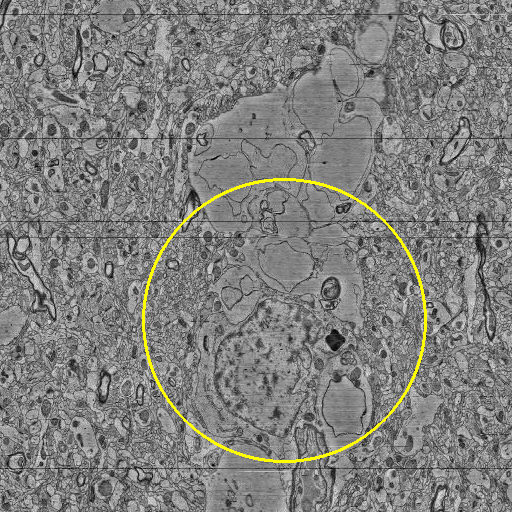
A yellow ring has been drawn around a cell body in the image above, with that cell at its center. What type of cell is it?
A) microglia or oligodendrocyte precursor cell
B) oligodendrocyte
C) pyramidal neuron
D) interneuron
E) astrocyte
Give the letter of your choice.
D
